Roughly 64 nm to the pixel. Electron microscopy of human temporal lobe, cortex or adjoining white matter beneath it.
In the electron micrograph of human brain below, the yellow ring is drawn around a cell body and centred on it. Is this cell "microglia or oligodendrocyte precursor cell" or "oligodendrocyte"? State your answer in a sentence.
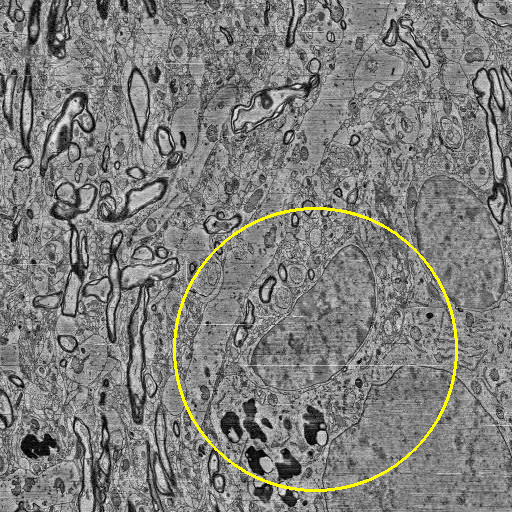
The cell in the middle of the ring is a microglial cell or oligodendrocyte precursor cell.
